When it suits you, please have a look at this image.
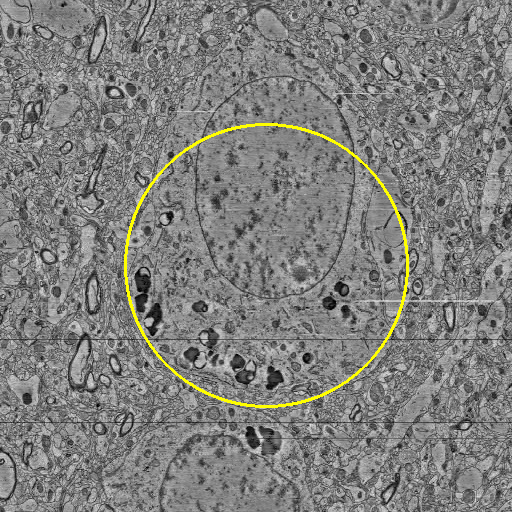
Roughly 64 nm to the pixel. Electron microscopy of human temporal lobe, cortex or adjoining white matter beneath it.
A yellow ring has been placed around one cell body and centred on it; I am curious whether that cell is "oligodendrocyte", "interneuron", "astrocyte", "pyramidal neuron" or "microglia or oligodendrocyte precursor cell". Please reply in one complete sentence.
The ringed cell, a pyramidal neuron, has its body at the centre of the yellow ring.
